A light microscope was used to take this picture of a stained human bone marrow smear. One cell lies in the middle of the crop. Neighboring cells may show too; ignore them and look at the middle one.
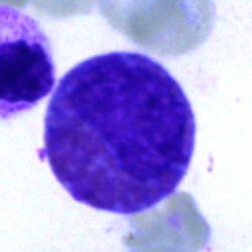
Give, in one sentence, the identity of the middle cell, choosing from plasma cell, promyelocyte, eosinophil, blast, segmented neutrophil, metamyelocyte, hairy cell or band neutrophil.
Answering briefly, the cell in the middle is an eosinophil.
